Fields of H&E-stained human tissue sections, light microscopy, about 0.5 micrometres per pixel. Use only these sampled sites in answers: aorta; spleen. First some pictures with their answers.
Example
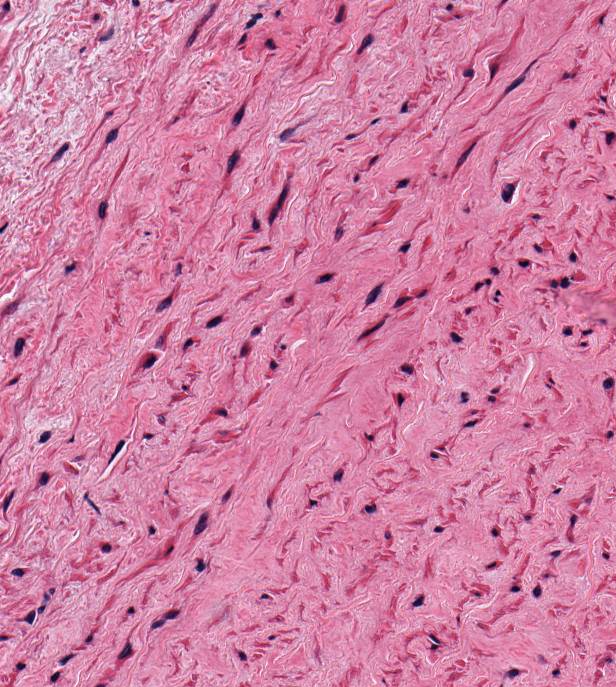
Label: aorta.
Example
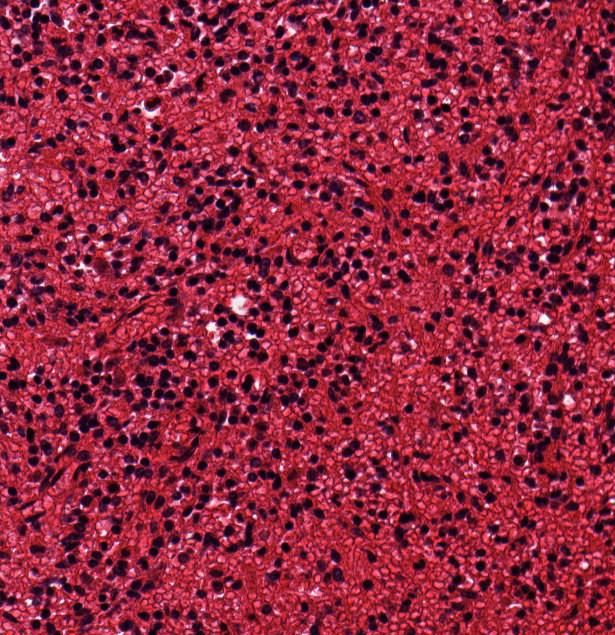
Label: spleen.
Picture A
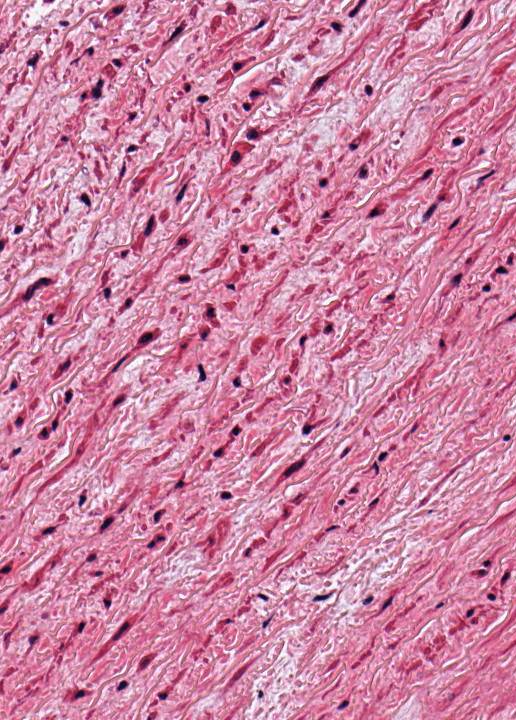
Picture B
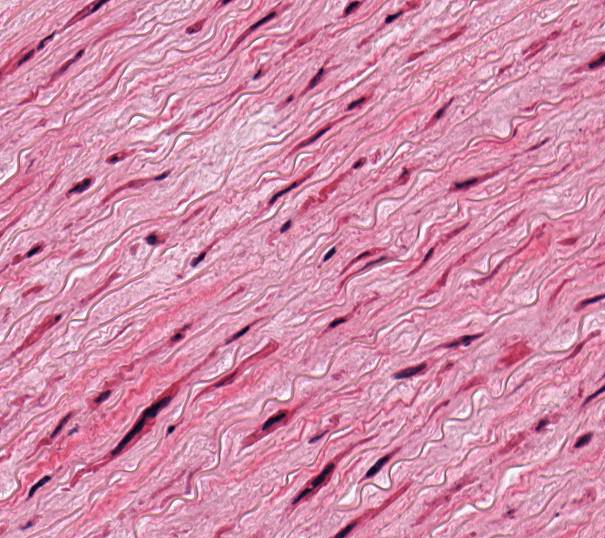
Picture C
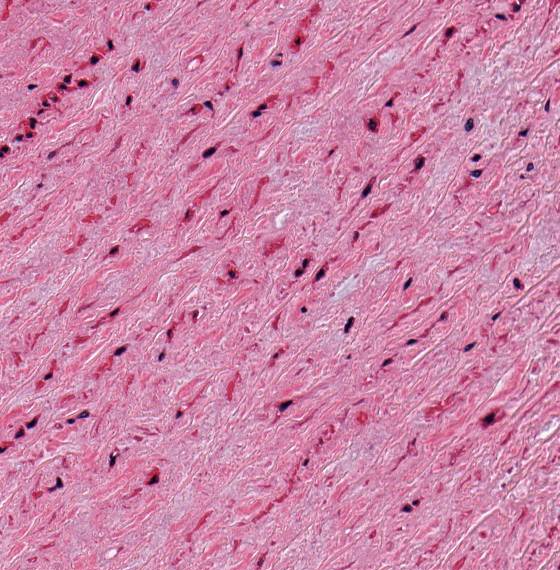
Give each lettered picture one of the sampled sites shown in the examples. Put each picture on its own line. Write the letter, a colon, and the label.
A: aorta.
B: aorta.
C: aorta.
